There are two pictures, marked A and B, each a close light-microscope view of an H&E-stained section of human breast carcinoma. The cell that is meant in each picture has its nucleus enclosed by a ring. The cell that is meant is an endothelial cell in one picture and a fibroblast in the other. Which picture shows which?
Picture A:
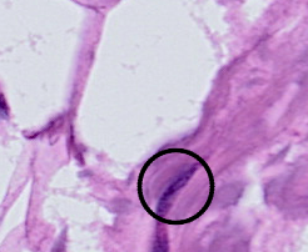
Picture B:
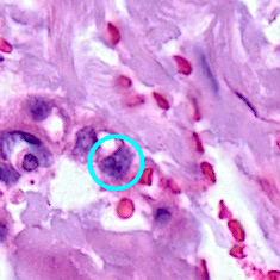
A: fibroblast
B: endothelial cell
